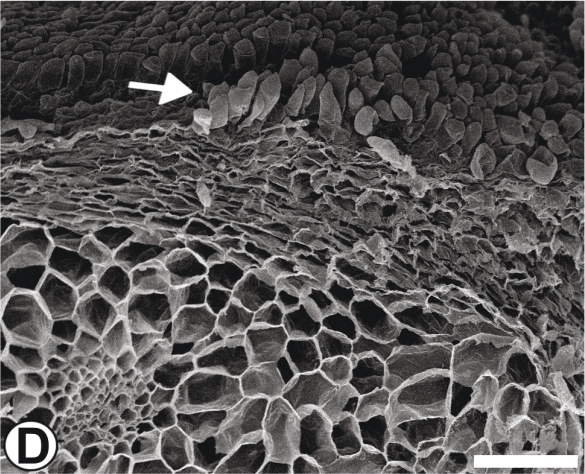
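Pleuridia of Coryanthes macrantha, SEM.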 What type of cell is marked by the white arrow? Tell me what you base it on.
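The arrow points to dome-shaped, bulging cells on the surface. These cells project above the surface, unlike the flat cut cells below. So: Papillary cells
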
